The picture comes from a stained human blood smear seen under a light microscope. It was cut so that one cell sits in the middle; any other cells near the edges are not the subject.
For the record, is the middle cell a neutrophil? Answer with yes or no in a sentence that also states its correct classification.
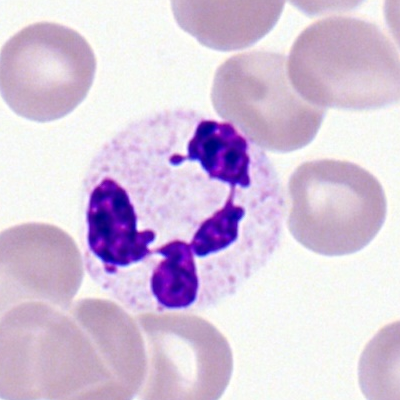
Yes, the cell under consideration, the one in the middle, is a neutrophil.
